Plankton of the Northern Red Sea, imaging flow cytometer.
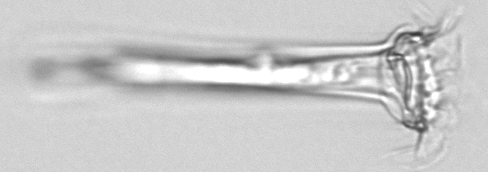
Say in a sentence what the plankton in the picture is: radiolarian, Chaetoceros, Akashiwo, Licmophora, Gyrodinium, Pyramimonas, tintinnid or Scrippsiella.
This is a tintinnid.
